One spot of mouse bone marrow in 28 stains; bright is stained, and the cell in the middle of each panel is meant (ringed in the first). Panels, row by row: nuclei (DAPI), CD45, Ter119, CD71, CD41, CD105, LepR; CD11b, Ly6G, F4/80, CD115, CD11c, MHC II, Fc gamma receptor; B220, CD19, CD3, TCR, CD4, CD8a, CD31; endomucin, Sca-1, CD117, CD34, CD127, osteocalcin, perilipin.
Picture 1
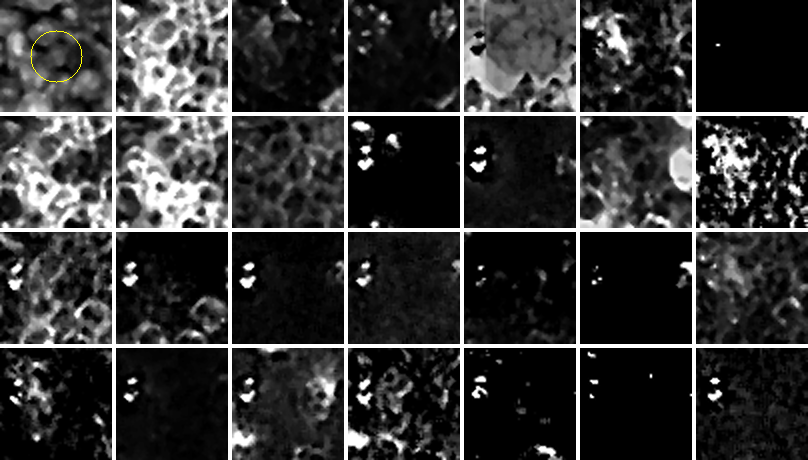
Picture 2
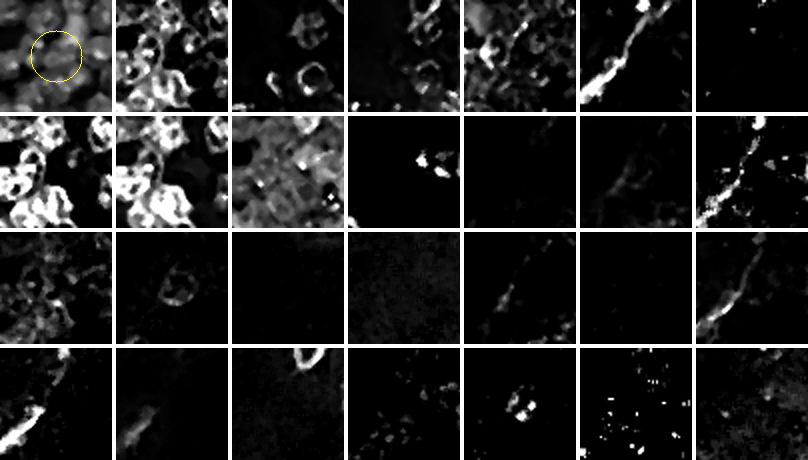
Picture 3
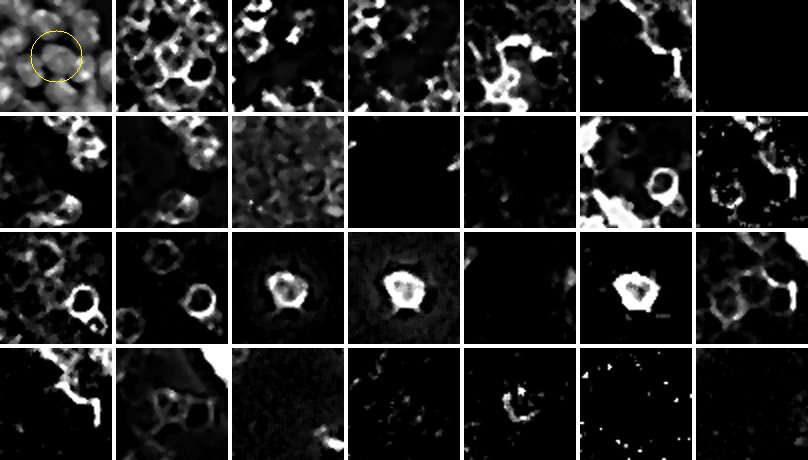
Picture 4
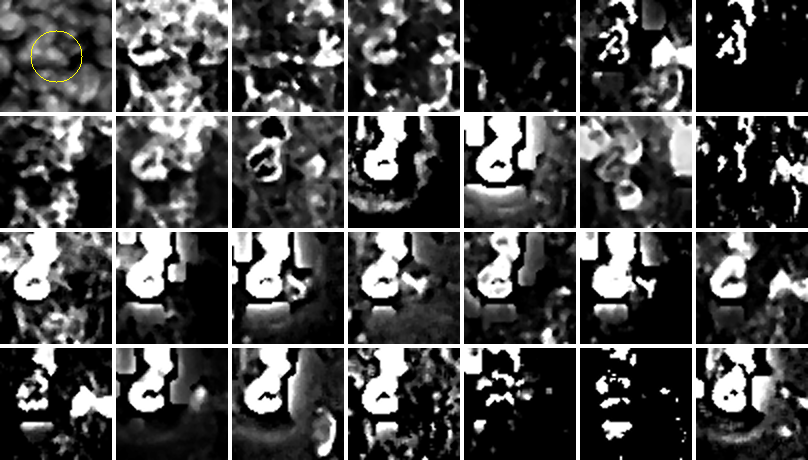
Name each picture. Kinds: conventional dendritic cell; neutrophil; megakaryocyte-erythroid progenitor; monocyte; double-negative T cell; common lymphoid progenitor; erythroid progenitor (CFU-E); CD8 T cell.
1: neutrophil
2: common lymphoid progenitor
3: CD8 T cell
4: CD8 T cell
